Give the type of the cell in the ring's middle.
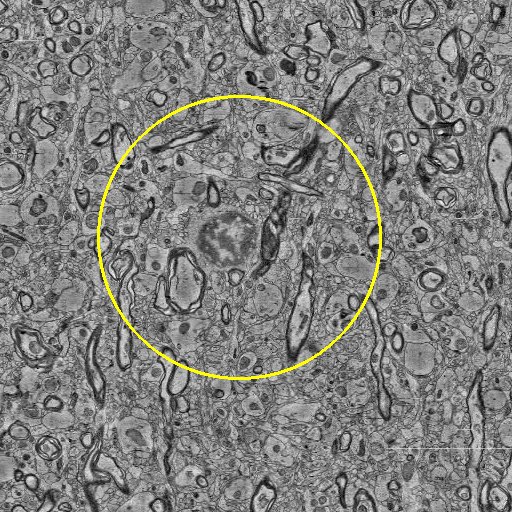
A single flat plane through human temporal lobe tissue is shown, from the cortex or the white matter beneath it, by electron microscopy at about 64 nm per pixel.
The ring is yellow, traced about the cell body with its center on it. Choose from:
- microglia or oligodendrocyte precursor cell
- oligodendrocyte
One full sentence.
Here, an oligodendrocyte is the cell lying at the center of the yellow ring.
